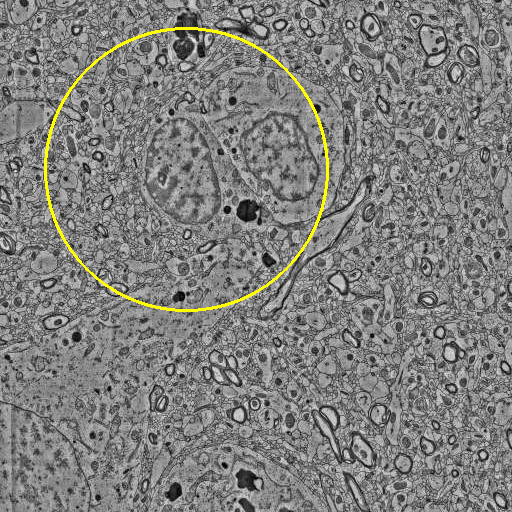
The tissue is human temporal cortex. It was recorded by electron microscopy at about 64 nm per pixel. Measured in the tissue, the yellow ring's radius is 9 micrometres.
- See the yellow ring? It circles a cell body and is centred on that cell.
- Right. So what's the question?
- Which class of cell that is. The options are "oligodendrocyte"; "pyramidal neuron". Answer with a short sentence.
The centre of the ring holds an oligodendrocyte.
